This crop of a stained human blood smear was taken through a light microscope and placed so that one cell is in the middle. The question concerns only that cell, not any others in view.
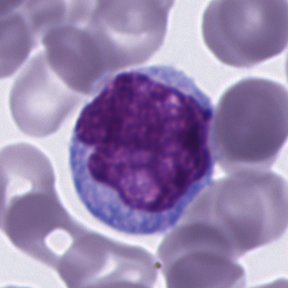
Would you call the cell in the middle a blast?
no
